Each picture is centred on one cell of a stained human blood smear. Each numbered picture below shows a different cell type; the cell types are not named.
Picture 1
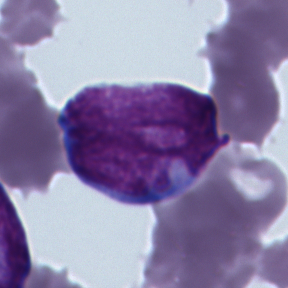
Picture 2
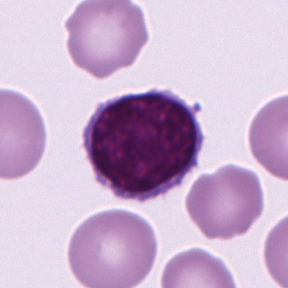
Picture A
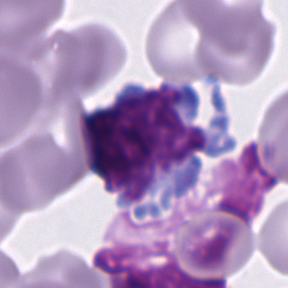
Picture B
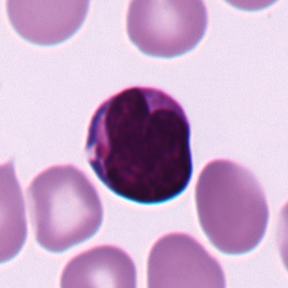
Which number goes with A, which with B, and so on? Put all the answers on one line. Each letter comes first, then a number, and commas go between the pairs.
A 2, B 2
